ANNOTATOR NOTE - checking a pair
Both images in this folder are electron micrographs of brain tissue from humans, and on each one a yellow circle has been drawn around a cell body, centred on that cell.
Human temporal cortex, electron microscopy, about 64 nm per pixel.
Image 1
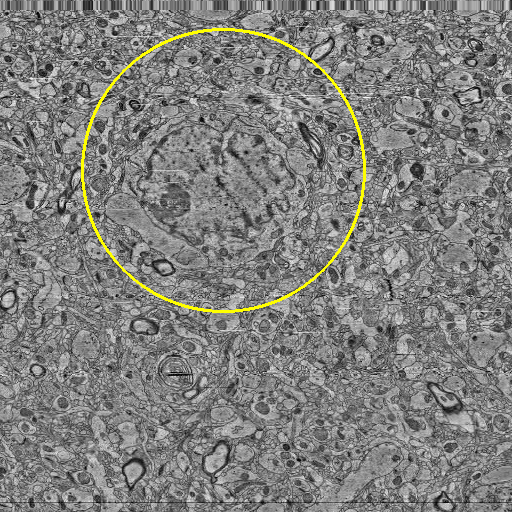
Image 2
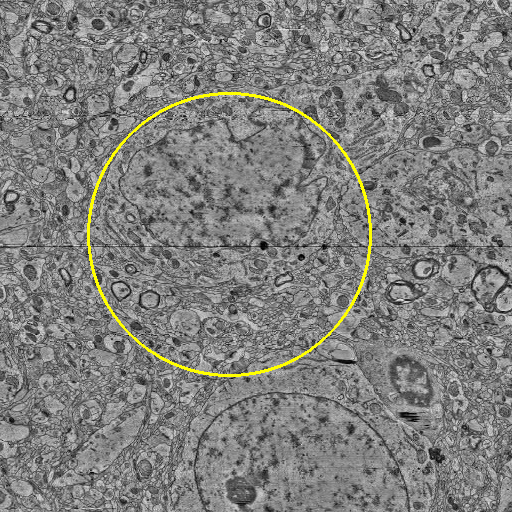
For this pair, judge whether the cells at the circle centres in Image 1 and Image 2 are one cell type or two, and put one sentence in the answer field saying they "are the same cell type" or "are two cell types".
For this pair, the cells at the circle centres in Images 1 and 2 are the same cell type.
